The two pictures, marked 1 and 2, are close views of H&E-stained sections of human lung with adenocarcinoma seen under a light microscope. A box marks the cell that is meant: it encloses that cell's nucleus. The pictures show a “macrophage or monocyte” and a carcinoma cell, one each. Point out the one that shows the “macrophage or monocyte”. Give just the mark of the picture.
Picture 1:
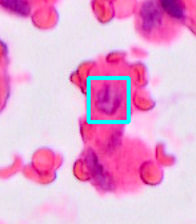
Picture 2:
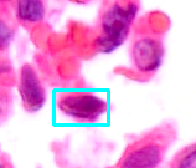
1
